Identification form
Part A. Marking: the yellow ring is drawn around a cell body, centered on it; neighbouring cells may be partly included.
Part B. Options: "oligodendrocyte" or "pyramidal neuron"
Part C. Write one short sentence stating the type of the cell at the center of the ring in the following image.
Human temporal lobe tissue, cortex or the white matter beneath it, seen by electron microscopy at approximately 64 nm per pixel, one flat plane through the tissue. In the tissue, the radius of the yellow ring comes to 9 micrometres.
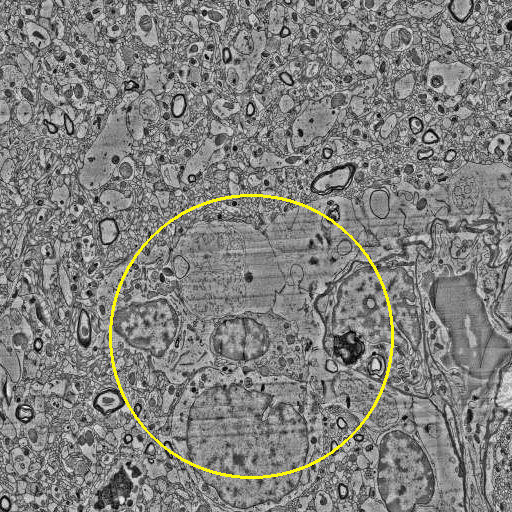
The center of the ring holds an oligodendrocyte.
